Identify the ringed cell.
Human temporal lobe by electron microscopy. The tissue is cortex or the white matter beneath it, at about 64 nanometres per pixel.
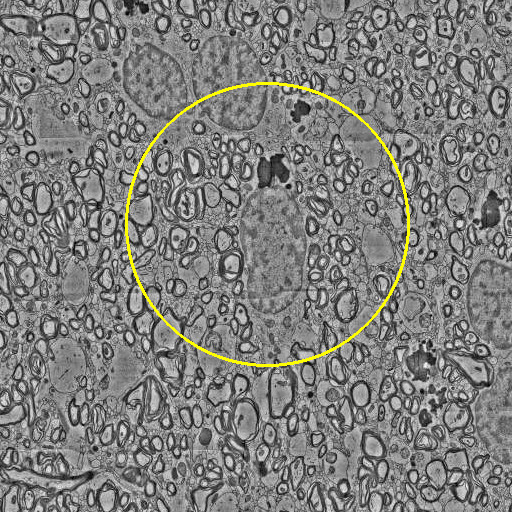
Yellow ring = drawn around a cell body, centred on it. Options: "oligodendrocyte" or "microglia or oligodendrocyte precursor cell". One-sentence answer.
What the ring is centred on is an oligodendrocyte.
